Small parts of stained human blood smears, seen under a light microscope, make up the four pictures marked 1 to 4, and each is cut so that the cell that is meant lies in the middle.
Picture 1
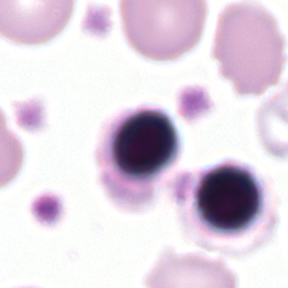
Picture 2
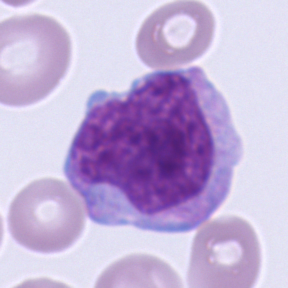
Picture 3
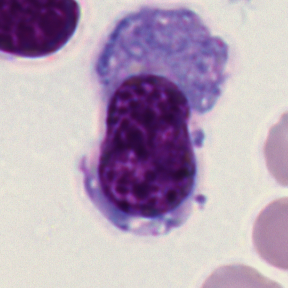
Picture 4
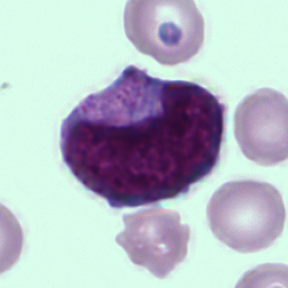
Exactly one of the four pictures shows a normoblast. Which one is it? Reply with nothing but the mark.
1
